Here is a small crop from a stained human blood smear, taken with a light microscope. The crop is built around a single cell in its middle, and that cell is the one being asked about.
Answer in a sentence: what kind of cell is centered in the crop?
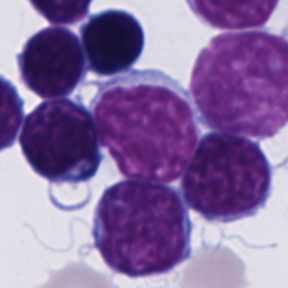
The middle of this crop is occupied by a myeloblast.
